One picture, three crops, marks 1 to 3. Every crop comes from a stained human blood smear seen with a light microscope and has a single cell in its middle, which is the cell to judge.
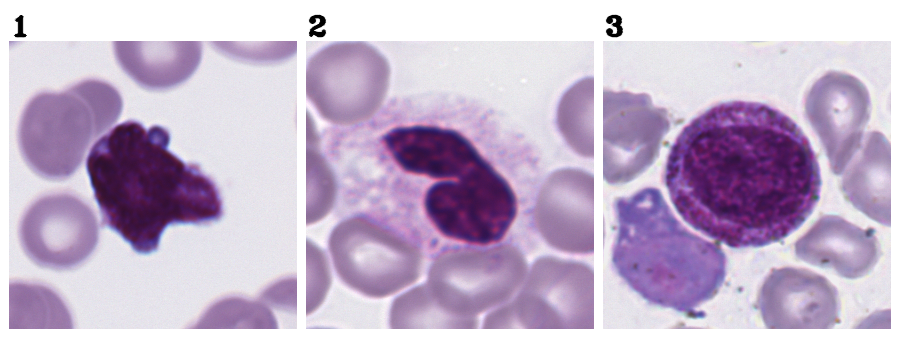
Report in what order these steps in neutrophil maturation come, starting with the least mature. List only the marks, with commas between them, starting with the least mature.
1, 3, 2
